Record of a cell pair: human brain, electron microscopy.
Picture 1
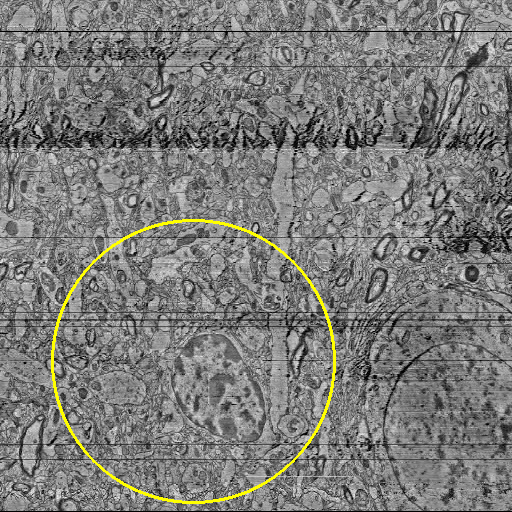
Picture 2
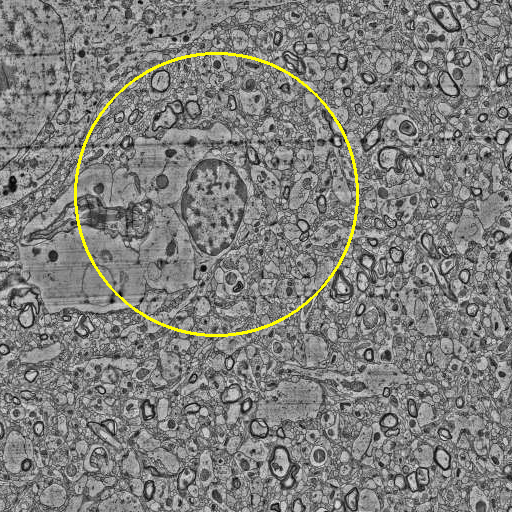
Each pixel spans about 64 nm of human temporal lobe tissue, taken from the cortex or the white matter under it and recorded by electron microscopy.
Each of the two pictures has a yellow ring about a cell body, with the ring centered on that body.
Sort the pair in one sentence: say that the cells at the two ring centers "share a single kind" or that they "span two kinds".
The cells centered in the rings of Pictures 1 and 2 share a single kind.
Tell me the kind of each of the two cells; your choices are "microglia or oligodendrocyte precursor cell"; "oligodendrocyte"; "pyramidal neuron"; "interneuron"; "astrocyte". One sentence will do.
Each of the two rings surrounds a microglial cell or oligodendrocyte precursor cell.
